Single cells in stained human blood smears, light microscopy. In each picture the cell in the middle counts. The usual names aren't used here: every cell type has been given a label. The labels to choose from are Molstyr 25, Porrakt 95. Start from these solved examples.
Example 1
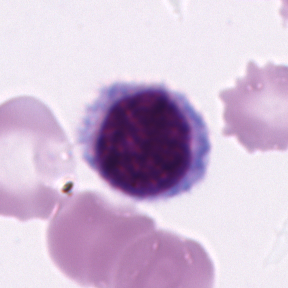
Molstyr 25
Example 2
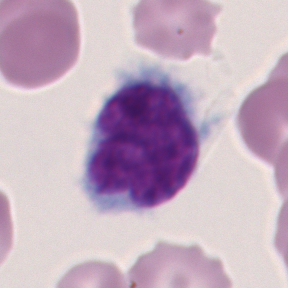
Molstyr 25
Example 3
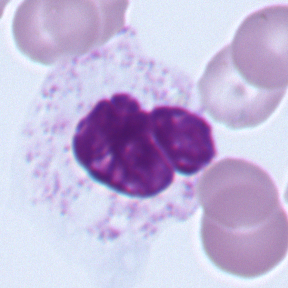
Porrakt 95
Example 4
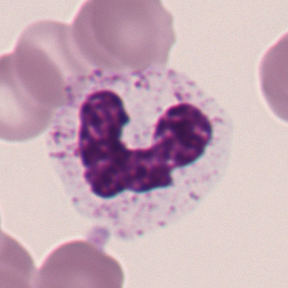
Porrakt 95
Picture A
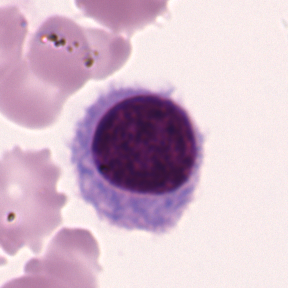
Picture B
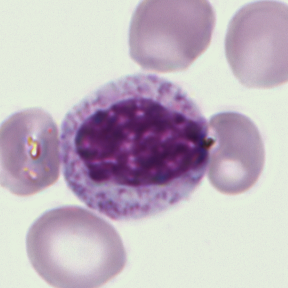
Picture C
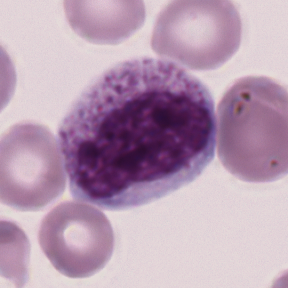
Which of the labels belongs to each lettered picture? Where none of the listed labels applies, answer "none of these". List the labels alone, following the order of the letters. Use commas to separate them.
Molstyr 25, none of these, none of these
